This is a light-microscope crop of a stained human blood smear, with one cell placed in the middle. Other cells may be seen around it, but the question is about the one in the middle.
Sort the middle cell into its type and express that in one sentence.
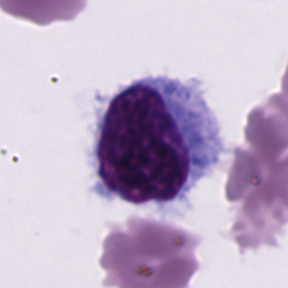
The cell centered in this field of view is a hairy cell.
